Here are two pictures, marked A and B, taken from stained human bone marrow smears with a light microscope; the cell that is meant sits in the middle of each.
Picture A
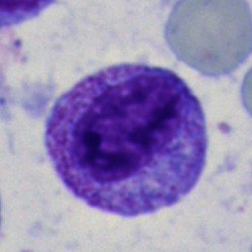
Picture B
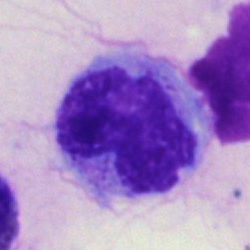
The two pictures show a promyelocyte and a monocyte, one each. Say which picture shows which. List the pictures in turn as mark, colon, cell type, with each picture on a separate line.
A: promyelocyte
B: monocyte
